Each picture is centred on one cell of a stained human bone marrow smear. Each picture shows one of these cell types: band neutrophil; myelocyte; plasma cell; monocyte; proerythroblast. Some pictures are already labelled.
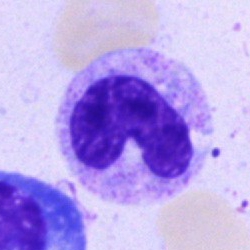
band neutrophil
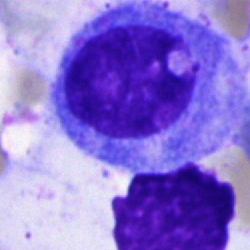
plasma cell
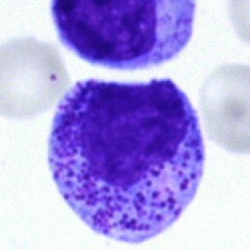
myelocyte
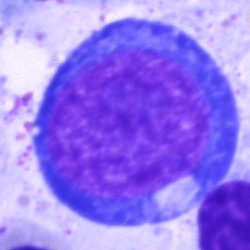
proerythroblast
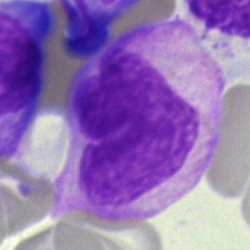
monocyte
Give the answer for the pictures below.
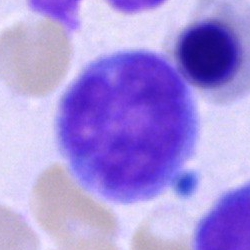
monocyte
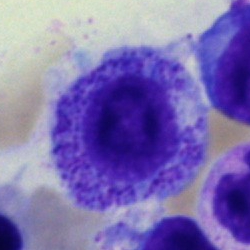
myelocyte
